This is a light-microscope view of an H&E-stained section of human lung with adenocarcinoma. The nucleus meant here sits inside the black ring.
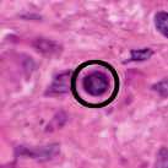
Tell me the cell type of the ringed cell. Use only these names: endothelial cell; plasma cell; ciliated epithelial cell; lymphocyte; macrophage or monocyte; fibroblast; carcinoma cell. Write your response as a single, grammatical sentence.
By cell type, the ringed cell is a plasma cell.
